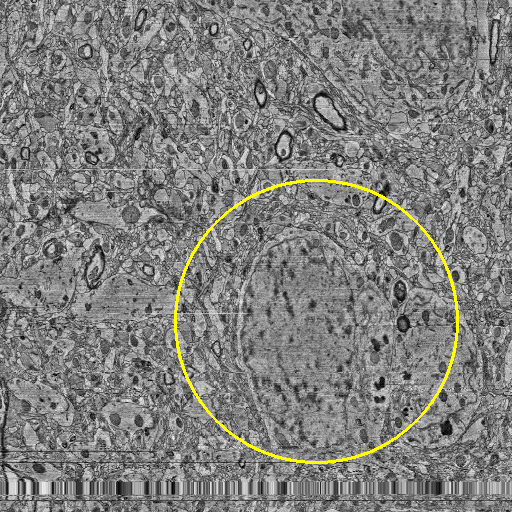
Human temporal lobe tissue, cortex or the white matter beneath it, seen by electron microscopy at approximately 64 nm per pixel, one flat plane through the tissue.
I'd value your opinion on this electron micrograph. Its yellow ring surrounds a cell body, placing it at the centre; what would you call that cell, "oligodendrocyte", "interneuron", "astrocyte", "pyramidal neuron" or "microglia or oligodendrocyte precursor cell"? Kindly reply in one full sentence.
It is an interneuron that sits centred within the yellow ring in this micrograph.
